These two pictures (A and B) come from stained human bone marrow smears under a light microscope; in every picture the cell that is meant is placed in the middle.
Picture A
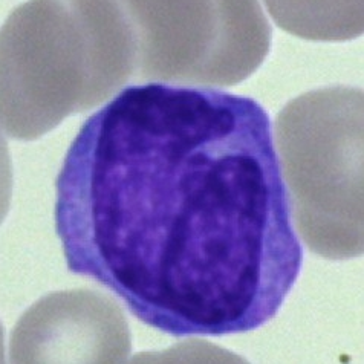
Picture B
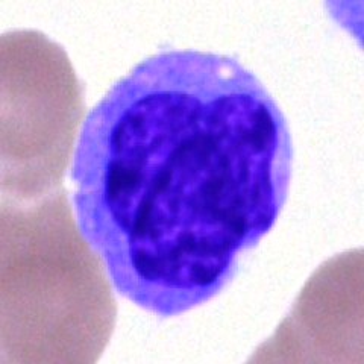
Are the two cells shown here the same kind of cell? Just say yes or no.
yes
